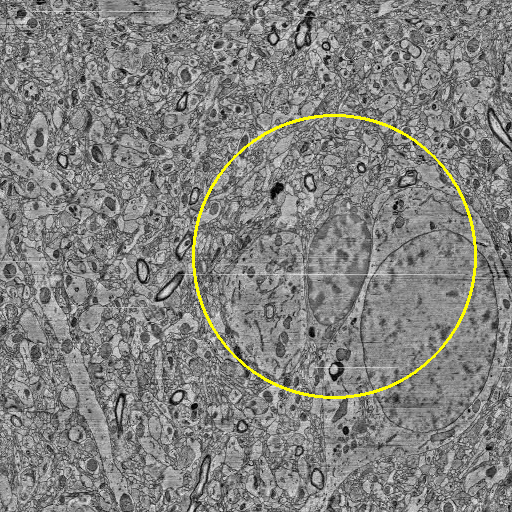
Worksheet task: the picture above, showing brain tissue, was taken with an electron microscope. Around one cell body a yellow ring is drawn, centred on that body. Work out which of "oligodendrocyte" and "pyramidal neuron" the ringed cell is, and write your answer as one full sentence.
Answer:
It is an oligodendrocyte whose cell body lies at the centre of the yellow ring.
